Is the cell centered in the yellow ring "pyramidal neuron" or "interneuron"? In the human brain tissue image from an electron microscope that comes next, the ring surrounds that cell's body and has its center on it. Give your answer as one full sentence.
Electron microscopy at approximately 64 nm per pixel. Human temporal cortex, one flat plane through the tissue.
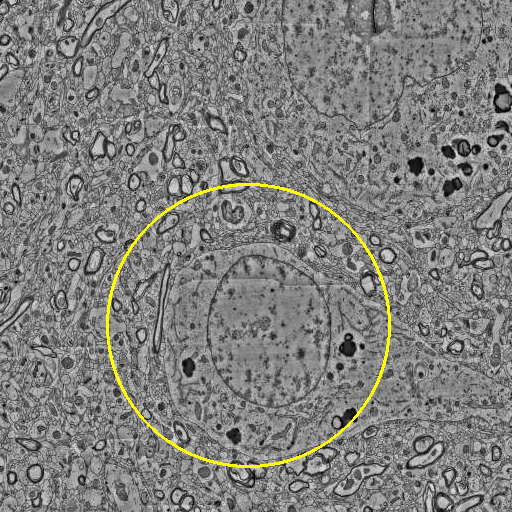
The cell at the center of the yellow ring is a pyramidal neuron in the micrograph.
